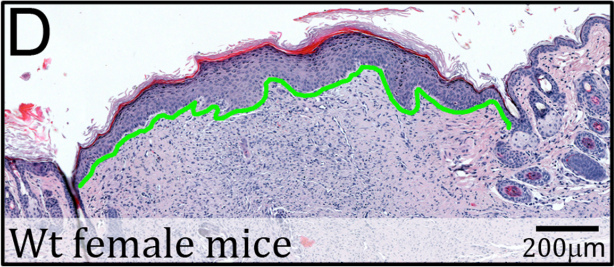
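This is skin over a healed wound, with a markedly thickened, hyperplastic epidermis covering the former wound bed. The epidermis is a multilayered stratified squamous epithelium with purple-staining nuclei, topped by a red-pink keratin layer and loose flakes of cornified material. Its lower border is irregular, with downward projections into the dermis. Beneath it the dermis is a pale pink, cell-rich tissue with many scattered nuclei and no hair follicles or glands. At the right edge, uninjured skin has a thin epidermis and hair follicles cut in cross section.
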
